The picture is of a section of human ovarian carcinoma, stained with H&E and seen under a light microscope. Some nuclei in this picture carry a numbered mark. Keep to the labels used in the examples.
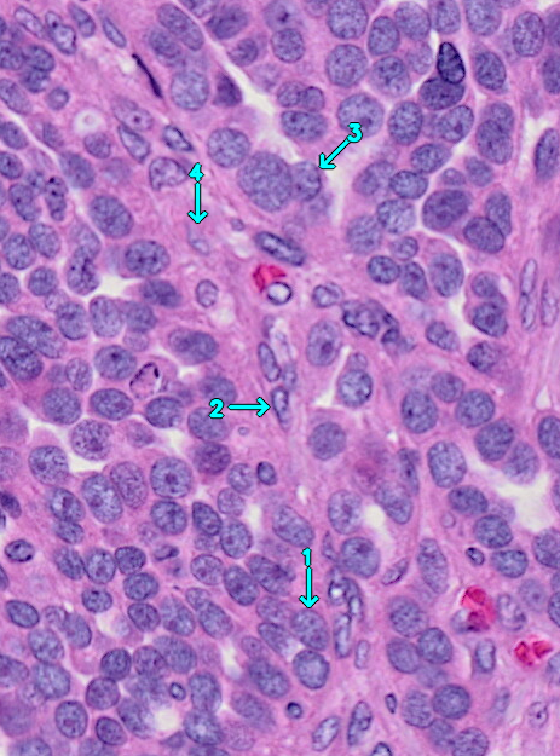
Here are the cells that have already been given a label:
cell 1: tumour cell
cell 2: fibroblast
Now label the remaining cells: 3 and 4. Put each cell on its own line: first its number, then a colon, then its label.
3: tumour cell
4: fibroblast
